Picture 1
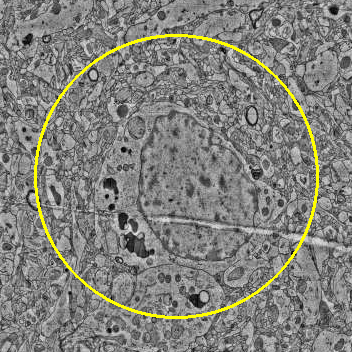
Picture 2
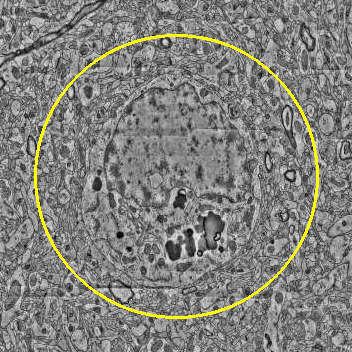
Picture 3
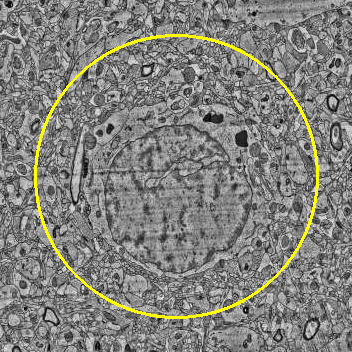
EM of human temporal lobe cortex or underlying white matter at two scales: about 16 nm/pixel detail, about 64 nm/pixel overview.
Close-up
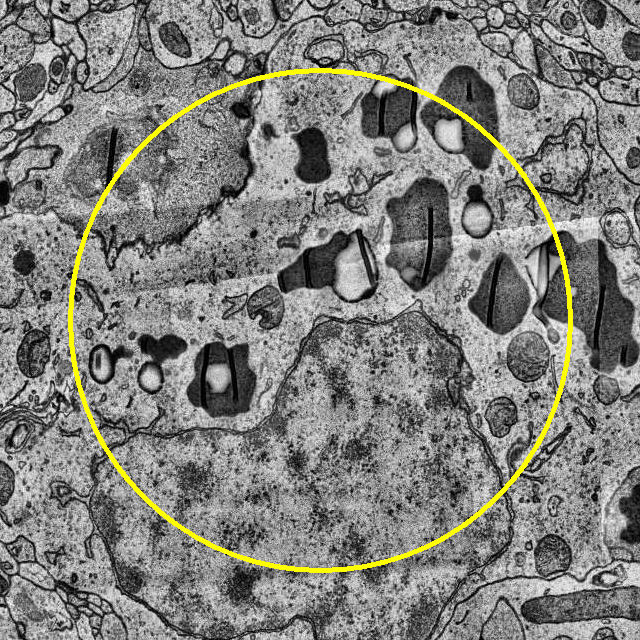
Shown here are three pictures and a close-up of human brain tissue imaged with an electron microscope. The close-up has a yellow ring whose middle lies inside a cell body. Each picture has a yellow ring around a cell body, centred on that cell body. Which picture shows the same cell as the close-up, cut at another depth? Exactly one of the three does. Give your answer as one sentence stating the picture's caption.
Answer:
Shown in the close-up is the cell marked with a ring in Picture 3.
